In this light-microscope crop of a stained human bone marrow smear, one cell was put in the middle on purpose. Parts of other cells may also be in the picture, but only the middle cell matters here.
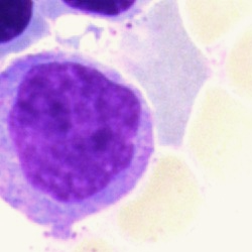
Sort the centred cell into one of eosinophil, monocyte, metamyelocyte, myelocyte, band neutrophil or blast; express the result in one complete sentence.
In short, the cell at the center is a monocyte.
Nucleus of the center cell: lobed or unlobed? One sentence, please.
Key feature: a single compact nucleus, round, oval or kidney-shaped.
